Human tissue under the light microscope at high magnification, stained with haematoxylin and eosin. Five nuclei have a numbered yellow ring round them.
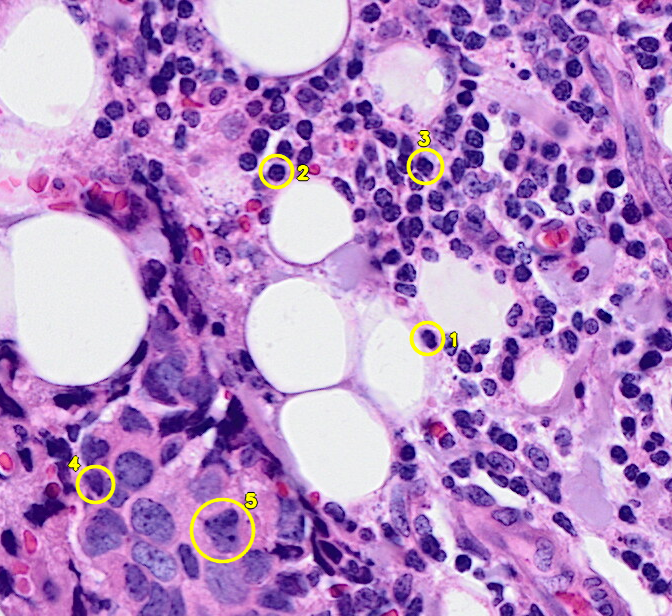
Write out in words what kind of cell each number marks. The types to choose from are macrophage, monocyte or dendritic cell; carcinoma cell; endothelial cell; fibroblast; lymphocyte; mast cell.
Cell 1 is a lymphocyte, cell 2 is a lymphocyte, cell 3 is a lymphocyte, cell 4 is a carcinoma cell and cell 5 is a carcinoma cell.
